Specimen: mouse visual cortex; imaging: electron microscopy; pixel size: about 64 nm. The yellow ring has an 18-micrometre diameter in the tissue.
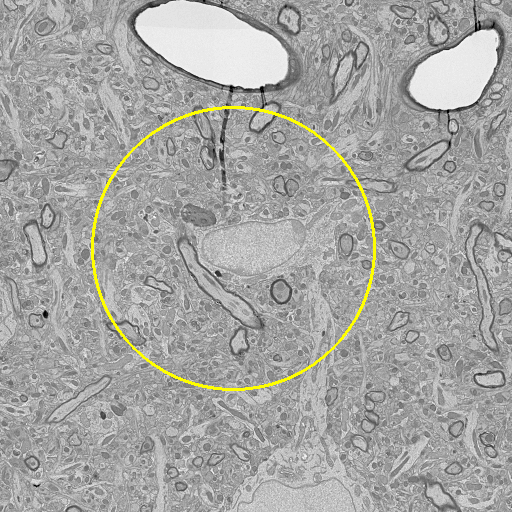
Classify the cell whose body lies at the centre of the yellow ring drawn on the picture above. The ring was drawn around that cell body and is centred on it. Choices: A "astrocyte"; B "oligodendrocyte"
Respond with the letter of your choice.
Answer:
A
